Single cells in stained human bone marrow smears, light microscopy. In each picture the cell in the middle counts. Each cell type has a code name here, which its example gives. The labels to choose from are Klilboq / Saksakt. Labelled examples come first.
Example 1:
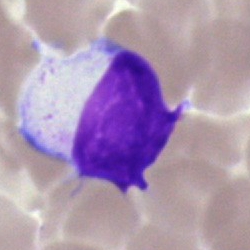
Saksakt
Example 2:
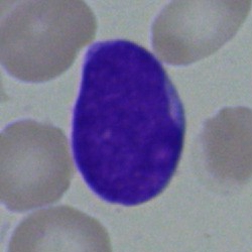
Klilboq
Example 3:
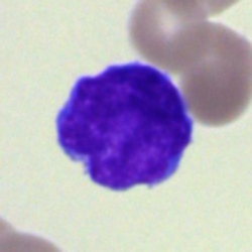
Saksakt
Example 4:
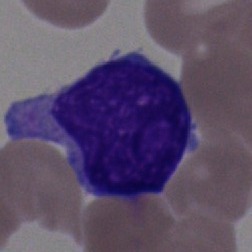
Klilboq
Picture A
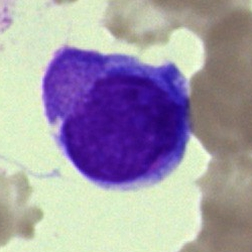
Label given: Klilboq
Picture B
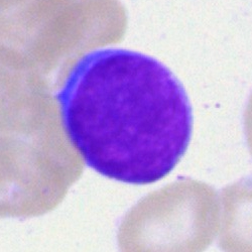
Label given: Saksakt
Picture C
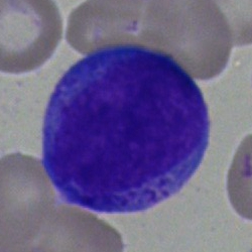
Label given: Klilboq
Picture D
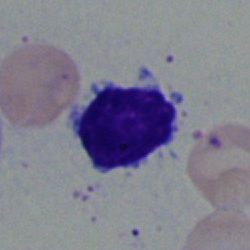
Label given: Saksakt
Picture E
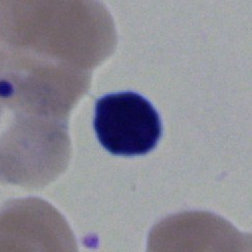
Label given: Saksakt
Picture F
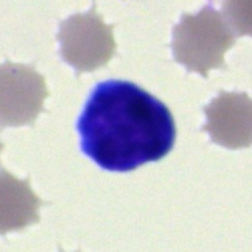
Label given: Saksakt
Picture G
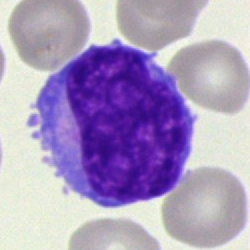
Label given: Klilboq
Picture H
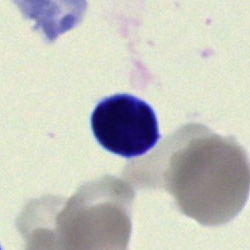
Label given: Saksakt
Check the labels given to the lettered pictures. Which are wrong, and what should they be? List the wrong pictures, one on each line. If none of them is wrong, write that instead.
B is labelled Saksakt; correct label: Klilboq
